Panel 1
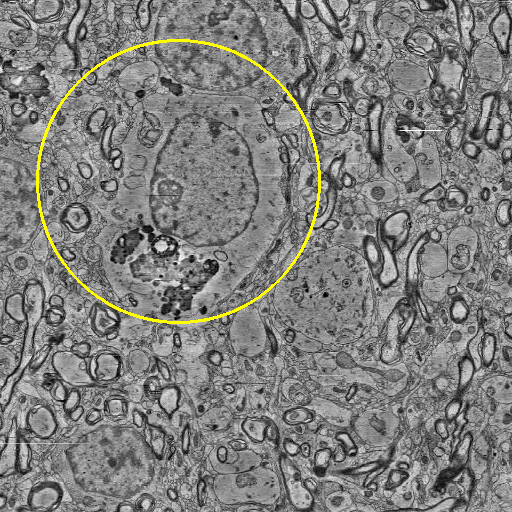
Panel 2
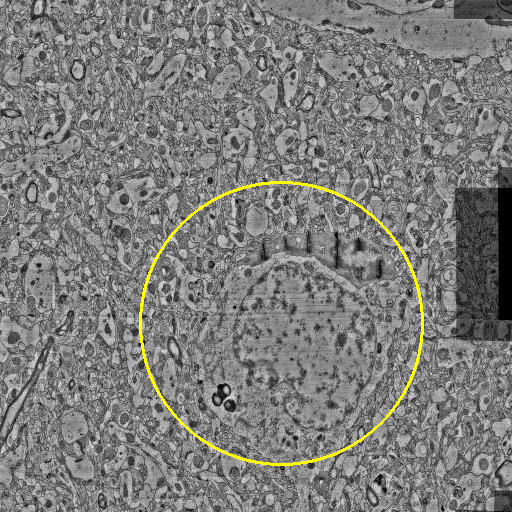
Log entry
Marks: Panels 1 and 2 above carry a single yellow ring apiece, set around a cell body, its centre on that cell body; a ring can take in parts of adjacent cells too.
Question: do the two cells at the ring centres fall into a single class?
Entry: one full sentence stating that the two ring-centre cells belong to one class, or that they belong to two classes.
The two ring-centre cells in Panels 1 and 2 belong to two classes.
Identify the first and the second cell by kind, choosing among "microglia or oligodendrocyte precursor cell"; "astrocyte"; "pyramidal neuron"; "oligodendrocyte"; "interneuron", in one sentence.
The one in the first picture is an astrocyte, while the one in the second is an interneuron.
